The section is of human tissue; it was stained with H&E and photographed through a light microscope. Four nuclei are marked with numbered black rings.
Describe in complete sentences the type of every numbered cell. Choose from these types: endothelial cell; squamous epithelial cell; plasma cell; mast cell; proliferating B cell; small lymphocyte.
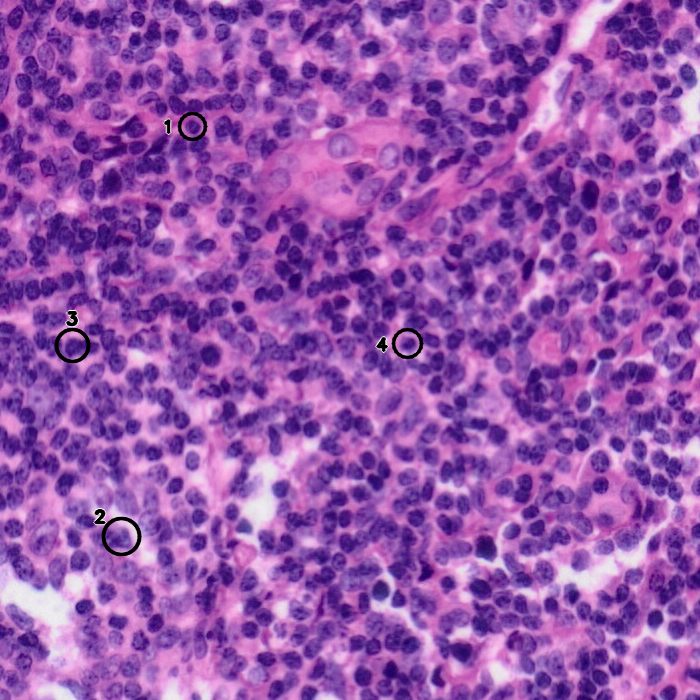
Cells 1, 3 and 4 are small lymphocytes. Cell 2 is a proliferating B cell.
